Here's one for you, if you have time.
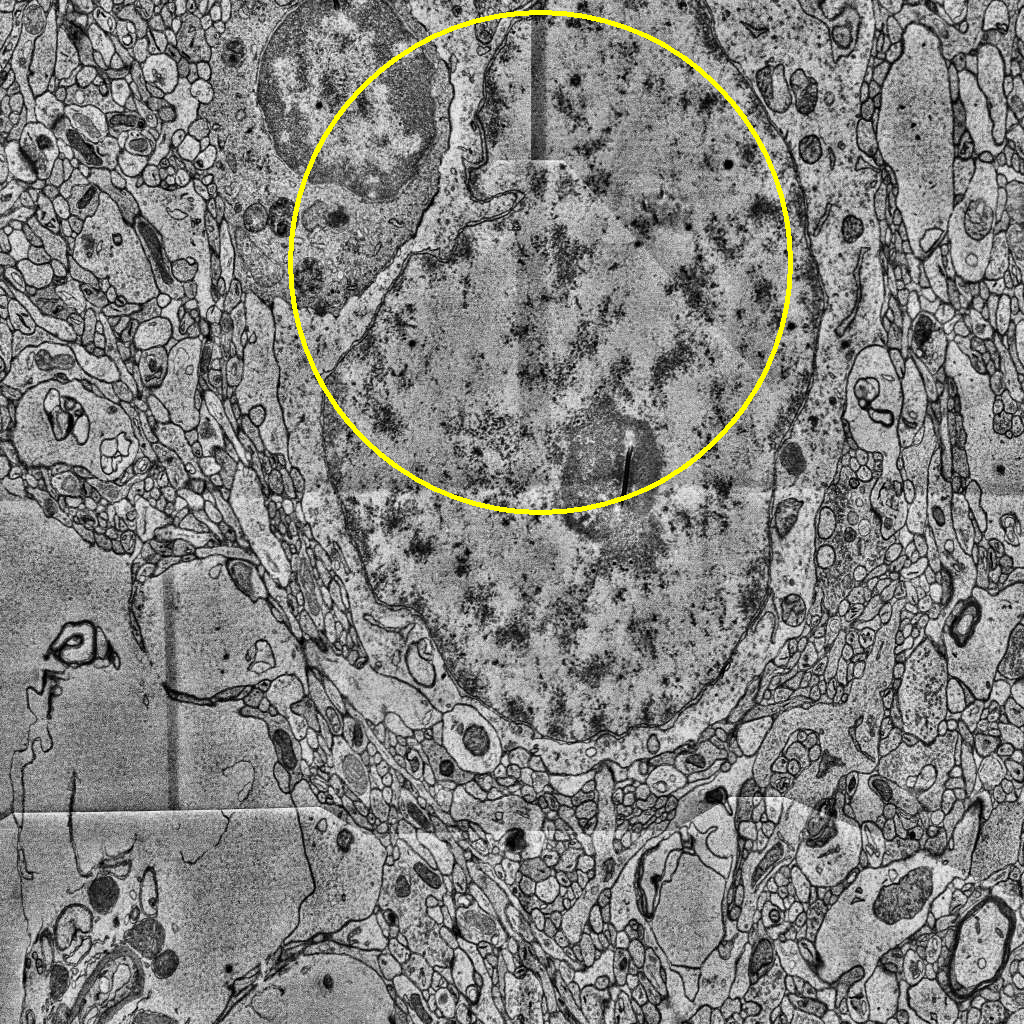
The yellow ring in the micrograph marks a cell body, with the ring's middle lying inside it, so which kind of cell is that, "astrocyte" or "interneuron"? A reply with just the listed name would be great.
interneuron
